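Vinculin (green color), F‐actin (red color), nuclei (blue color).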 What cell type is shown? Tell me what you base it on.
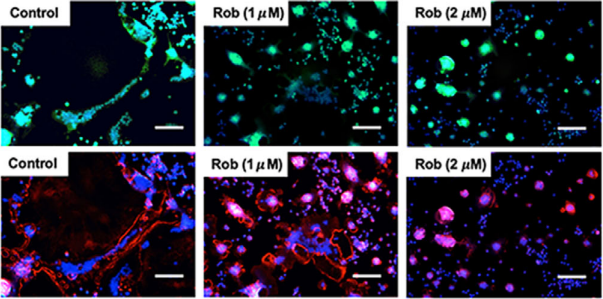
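Very large cells hold many blue nuclei clustered together. Much smaller single-nucleus cells lie scattered around them. On this evidence: osteoclast.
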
